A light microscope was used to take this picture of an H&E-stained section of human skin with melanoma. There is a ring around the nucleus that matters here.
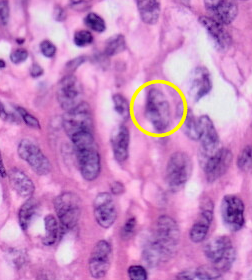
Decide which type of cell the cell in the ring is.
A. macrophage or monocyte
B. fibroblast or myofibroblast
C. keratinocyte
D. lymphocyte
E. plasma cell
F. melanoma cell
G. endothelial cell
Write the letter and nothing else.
F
